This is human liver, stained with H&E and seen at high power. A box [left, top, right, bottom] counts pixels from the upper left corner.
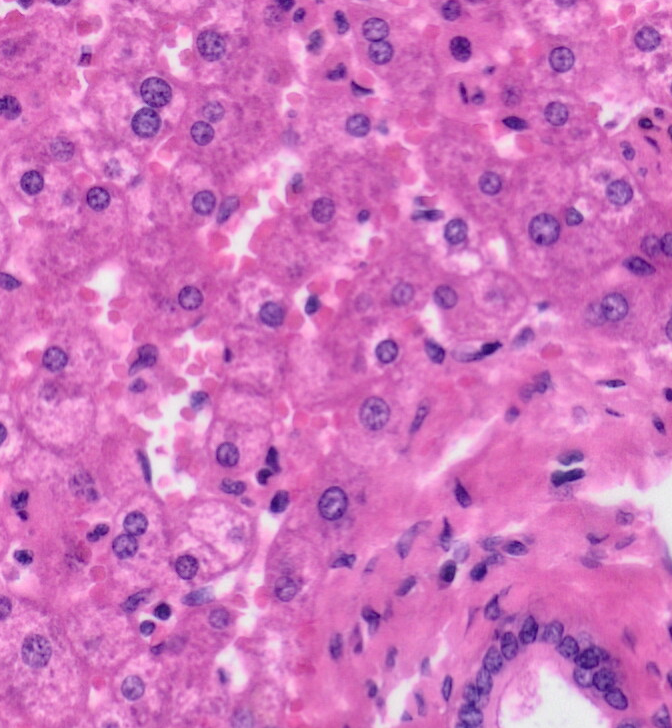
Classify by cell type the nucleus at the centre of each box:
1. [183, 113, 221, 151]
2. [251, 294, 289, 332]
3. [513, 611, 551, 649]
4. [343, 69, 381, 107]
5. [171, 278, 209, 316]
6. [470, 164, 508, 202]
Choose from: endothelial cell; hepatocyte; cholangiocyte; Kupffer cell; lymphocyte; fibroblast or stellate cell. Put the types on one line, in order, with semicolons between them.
hepatocyte; hepatocyte; cholangiocyte; endothelial cell; hepatocyte; hepatocyte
